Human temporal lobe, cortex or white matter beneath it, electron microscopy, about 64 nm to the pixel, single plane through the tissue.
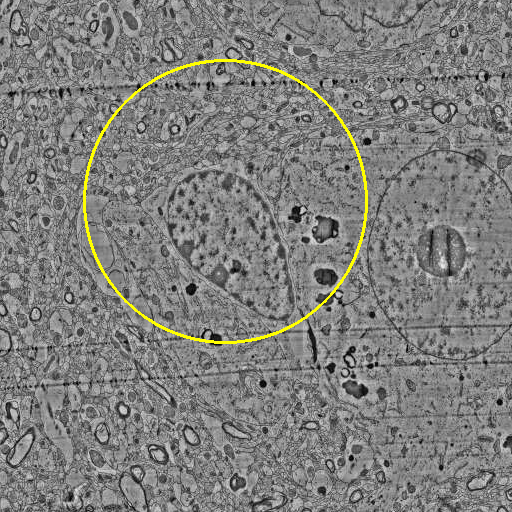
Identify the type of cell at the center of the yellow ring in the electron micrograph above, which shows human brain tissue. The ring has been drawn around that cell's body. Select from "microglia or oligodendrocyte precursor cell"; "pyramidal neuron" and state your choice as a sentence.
The yellow ring is centered on the body of a microglial cell or oligodendrocyte precursor cell.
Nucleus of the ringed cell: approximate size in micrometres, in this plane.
In this plane, approximately 10 by 6 micrometers, and clearly longer than it is wide.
